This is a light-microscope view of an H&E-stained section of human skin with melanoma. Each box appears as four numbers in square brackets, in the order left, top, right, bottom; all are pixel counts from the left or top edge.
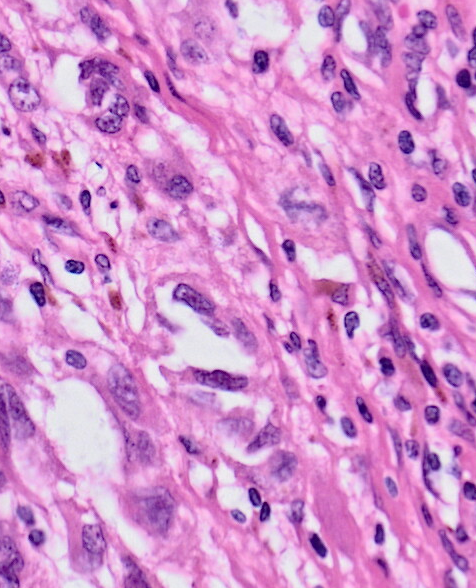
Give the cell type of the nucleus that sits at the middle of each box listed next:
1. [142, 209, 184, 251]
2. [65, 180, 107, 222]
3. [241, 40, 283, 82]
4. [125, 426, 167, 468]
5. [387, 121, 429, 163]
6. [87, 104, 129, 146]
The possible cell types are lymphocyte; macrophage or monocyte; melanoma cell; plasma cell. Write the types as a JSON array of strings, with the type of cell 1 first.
["macrophage or monocyte", "lymphocyte", "plasma cell", "melanoma cell", "lymphocyte", "melanoma cell"]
